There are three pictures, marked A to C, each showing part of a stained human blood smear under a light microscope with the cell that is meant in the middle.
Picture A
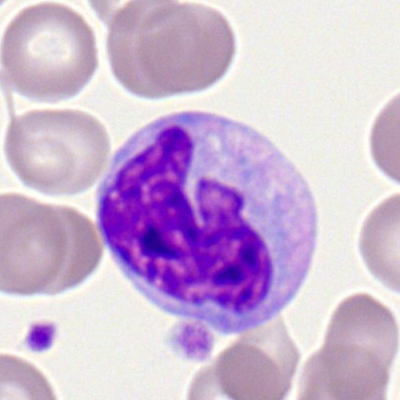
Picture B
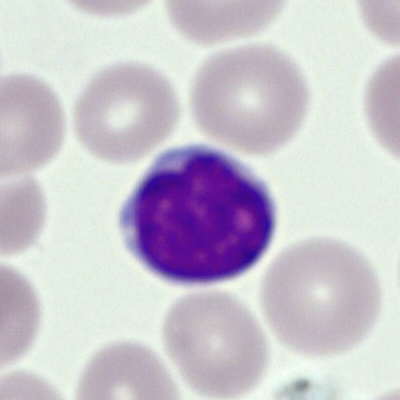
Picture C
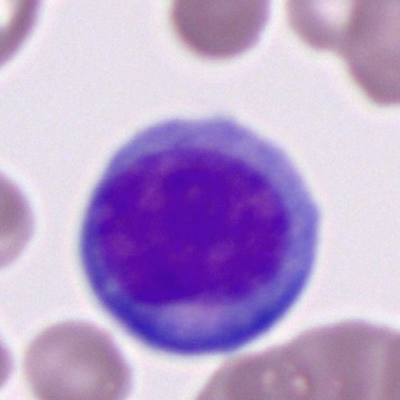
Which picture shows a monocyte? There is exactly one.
A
